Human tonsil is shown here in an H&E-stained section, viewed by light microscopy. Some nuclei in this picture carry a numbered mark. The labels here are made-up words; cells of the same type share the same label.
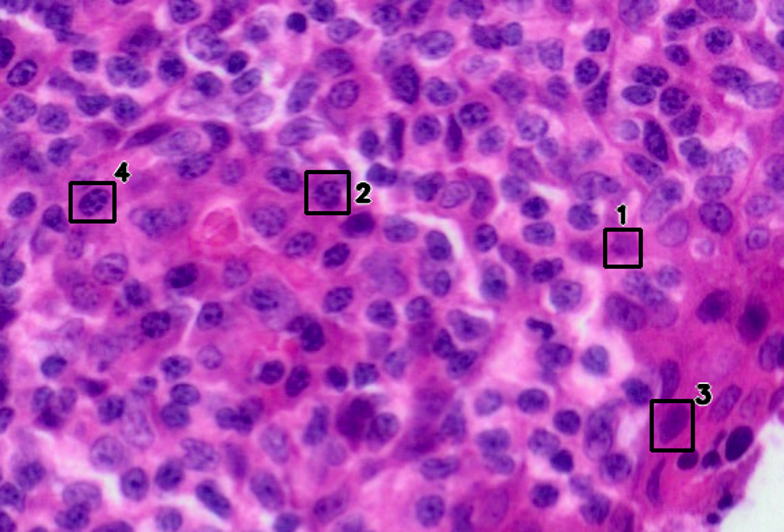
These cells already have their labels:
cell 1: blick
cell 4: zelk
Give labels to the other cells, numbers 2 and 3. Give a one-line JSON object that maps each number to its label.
{"2": "zelk", "3": "blick"}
